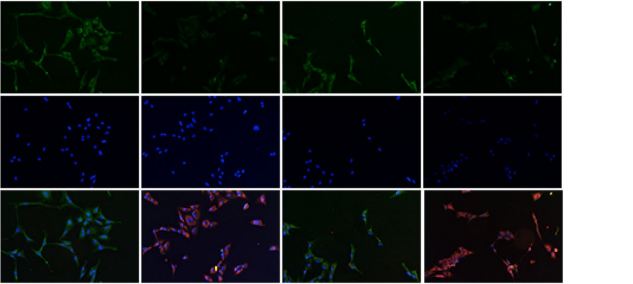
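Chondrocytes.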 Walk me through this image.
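The cells are polygonal to spindle-shaped, often with several short processes, and some lie close together in small clusters. Each has a round to oval blue nucleus. In some fields the red stain is strong and fills the cytoplasm around the nuclei, while in others it is nearly absent. The green stain is a fainter cytoplasmic outline, brighter in the first field than in the others.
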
